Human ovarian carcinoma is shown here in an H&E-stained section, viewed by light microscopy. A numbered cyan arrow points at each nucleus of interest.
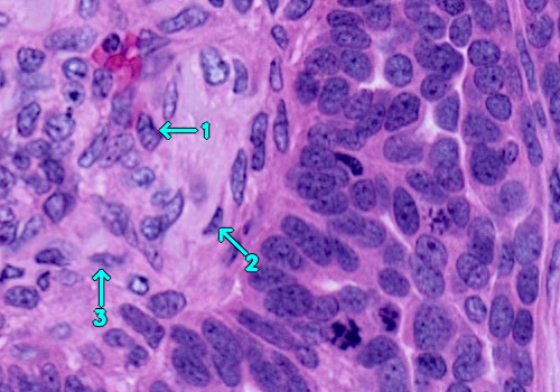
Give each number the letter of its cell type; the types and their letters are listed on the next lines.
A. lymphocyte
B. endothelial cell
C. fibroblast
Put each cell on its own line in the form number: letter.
1: B
2: C
3: C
